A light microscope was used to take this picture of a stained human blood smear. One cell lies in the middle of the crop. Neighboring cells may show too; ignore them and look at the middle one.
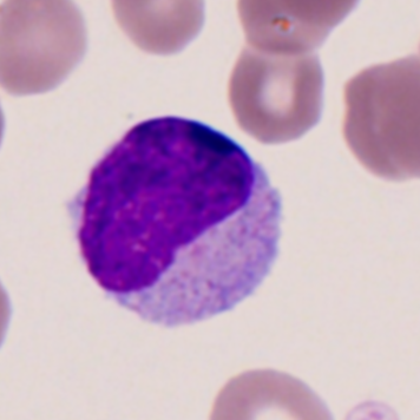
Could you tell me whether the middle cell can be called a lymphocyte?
yes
